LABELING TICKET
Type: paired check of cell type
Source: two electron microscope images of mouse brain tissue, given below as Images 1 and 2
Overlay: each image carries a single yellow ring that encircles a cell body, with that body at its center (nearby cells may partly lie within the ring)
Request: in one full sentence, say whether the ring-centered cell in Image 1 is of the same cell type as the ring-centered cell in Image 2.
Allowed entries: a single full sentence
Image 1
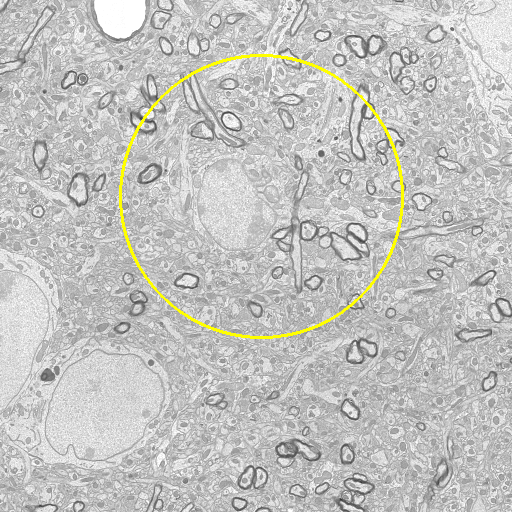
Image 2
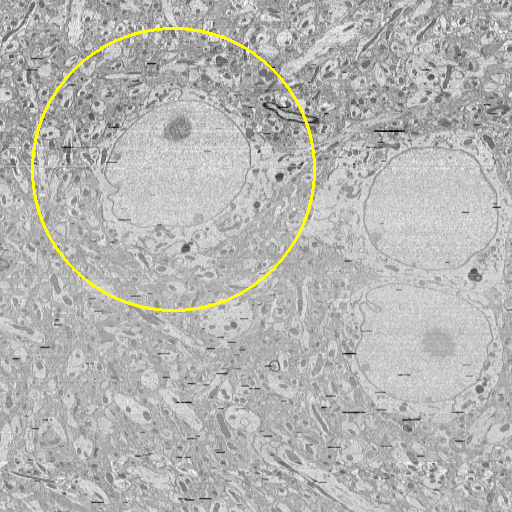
No, the cells centered in the rings of Image 1 and Image 2 are of two types.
